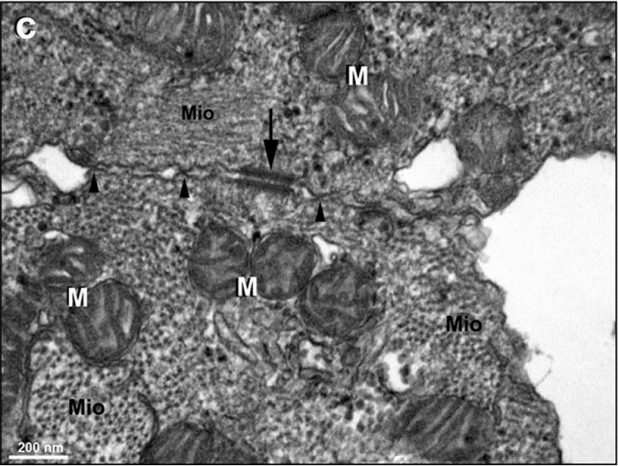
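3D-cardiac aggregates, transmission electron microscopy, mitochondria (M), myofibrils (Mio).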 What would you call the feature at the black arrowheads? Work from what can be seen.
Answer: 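The arrowheads lie along the membrane line where two cells meet.
Conclusion: intercellular contacts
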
